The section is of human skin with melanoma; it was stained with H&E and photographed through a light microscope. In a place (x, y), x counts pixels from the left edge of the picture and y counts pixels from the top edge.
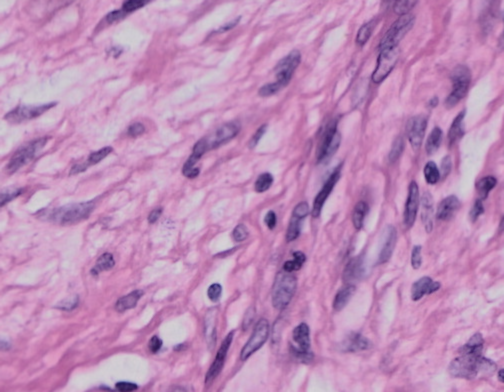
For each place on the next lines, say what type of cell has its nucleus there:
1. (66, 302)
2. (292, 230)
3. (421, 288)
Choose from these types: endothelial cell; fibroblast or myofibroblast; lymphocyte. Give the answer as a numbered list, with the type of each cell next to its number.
1. fibroblast or myofibroblast
2. endothelial cell
3. lymphocyte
